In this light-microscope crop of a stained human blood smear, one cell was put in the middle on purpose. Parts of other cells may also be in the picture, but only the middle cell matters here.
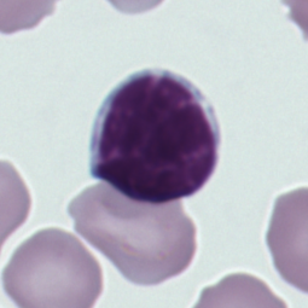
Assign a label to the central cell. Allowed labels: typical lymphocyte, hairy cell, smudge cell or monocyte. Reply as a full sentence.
The crop shows a typical lymphocyte in its centre.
